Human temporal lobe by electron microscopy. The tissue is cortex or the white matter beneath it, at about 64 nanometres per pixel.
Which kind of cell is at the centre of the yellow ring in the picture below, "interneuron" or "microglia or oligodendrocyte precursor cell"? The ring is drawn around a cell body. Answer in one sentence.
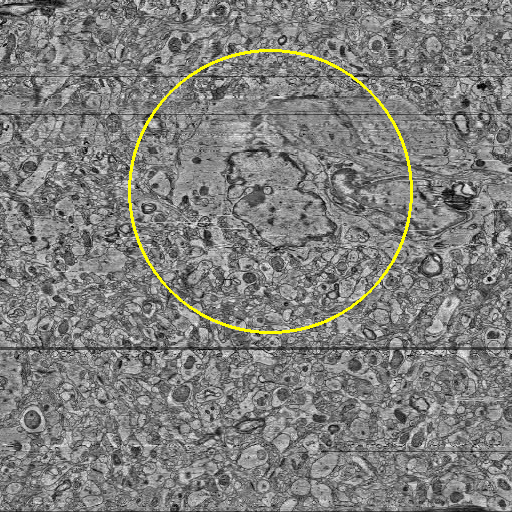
The ring's central cell is a microglial cell or oligodendrocyte precursor cell.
